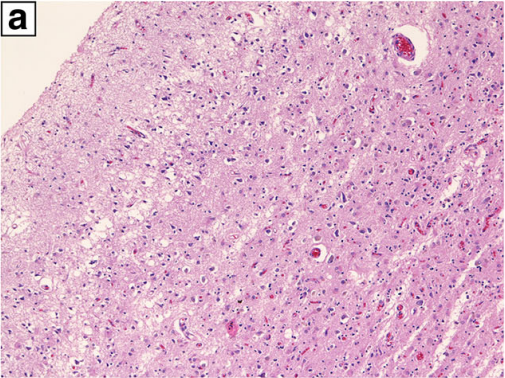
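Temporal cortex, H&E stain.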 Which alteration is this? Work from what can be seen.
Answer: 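Coarse, irregular vacuoles and loosened tissue toward the surface at the left. Few neurons among many small glial nuclei.
Status spongiosus.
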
